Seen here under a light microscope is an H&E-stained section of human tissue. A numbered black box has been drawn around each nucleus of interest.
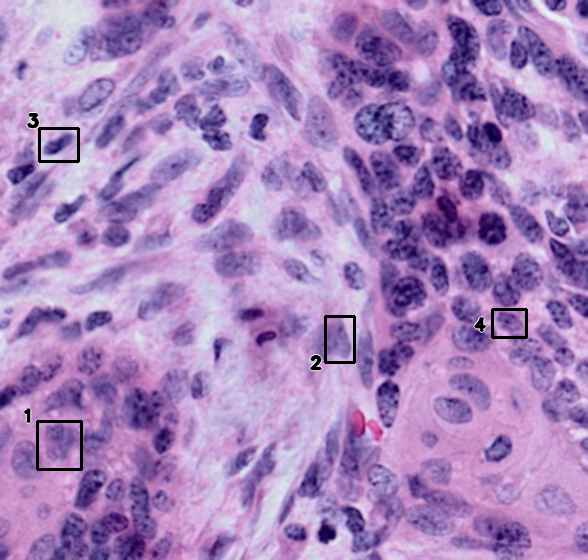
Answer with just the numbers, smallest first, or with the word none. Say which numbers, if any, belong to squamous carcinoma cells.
1, 4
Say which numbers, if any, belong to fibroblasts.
2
